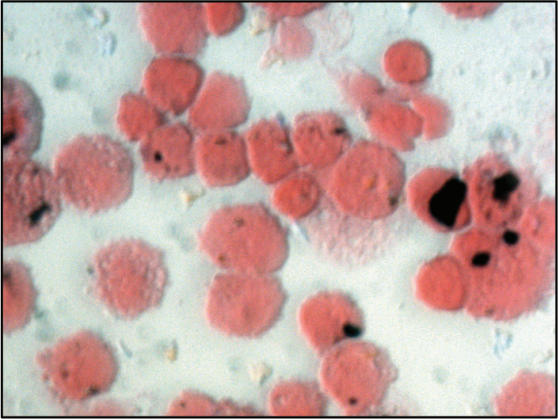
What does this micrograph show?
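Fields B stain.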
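Cytospin of macrophages: large round cells with abundant, finely granular pink cytoplasm, scattered singly and in loose clusters on a pale background. Many cells hold black particulate matter in their cytoplasm, ranging from fine specks to one large irregular black mass and several smaller dots in a cell on the right. Some cells are paler, with a frayed, vacuolated margin.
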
